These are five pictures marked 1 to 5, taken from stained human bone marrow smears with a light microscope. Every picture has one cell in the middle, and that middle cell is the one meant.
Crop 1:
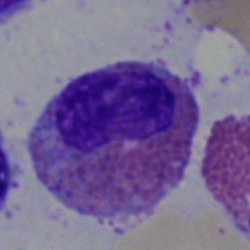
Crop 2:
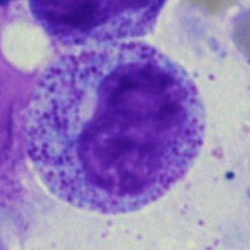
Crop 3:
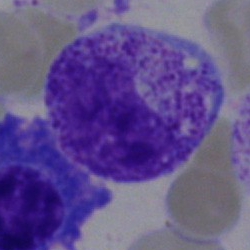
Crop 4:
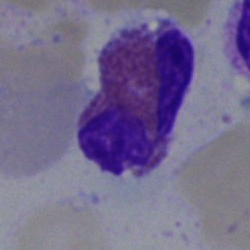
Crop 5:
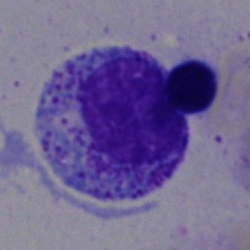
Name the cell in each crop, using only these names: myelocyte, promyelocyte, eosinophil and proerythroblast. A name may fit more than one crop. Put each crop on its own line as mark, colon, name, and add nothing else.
1: eosinophil
2: promyelocyte
3: myelocyte
4: eosinophil
5: promyelocyte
